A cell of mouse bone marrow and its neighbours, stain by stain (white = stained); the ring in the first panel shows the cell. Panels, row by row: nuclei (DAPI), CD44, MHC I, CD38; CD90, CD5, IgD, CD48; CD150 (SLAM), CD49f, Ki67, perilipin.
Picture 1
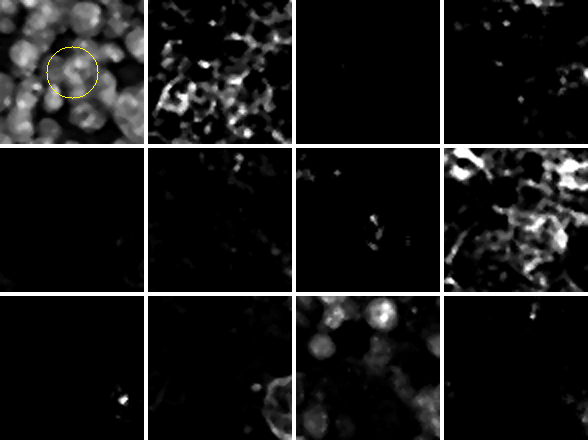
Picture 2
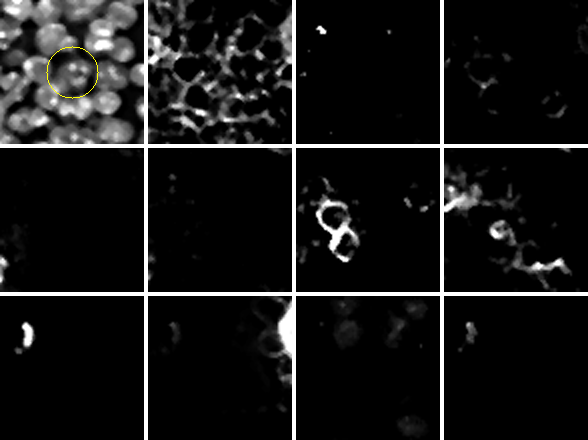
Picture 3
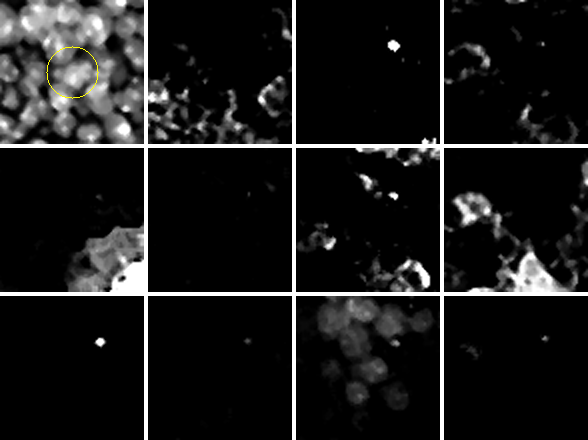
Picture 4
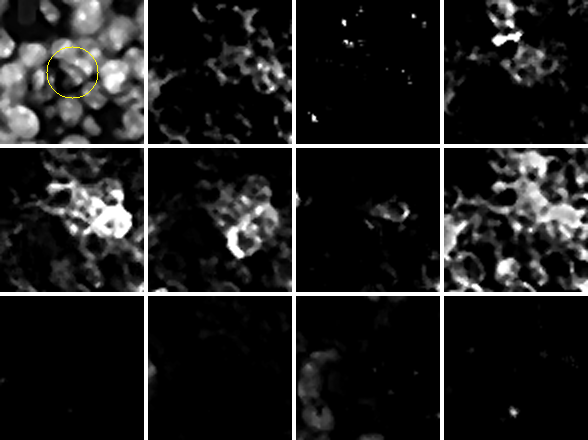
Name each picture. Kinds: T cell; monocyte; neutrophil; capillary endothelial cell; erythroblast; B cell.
(1) B cell
(2) neutrophil
(3) erythroblast
(4) monocyte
